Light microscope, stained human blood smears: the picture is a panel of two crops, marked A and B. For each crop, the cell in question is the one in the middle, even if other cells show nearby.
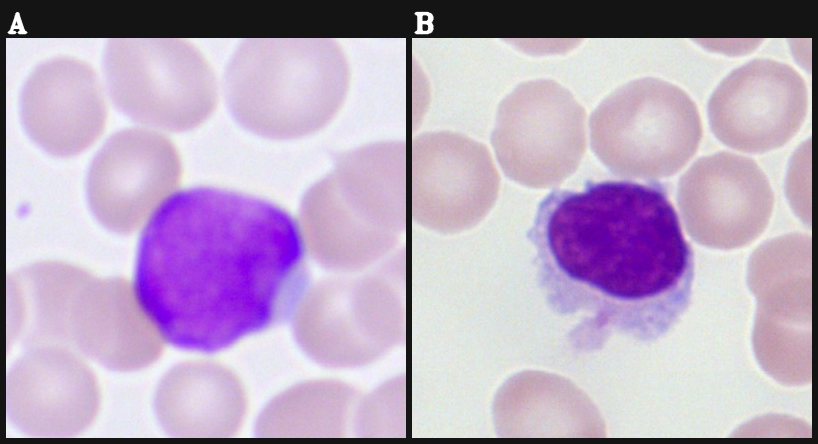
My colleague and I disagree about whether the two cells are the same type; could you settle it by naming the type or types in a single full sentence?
No, the cell that crop A shows is a myeloblast, and the one crop B shows is a lymphocyte.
